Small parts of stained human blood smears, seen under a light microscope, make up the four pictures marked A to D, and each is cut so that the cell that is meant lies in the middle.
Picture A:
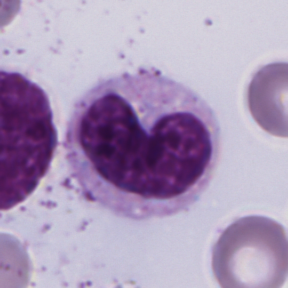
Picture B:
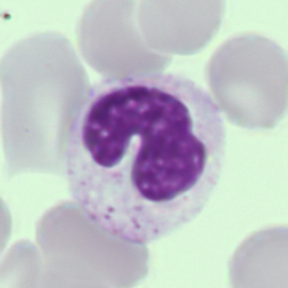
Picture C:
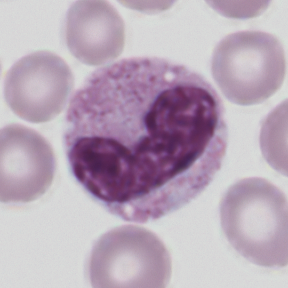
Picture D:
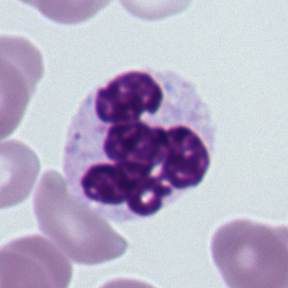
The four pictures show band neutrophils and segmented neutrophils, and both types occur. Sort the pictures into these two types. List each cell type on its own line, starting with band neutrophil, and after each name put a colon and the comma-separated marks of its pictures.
band neutrophil: A, B, C
segmented neutrophil: D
